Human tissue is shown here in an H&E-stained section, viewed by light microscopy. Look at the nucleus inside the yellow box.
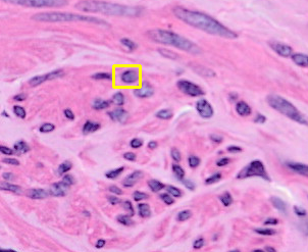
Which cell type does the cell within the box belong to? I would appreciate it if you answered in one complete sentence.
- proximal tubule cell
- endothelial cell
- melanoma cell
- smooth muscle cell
In this section, the cell within the box is a smooth muscle cell.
